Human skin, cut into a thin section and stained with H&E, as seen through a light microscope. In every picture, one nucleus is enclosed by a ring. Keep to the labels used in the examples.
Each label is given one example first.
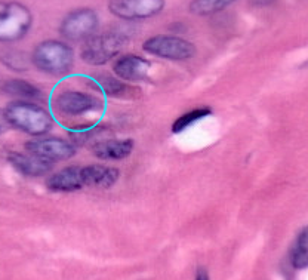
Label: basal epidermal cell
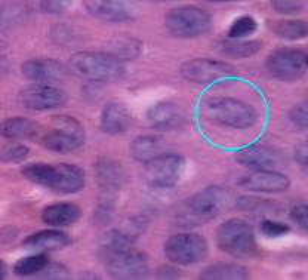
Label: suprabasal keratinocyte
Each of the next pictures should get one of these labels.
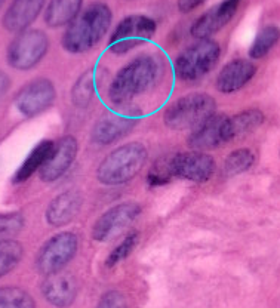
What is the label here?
basal epidermal cell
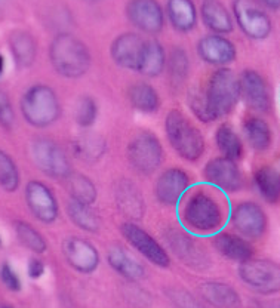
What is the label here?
basal epidermal cell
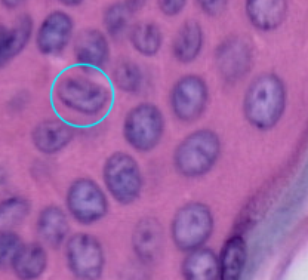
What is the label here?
suprabasal keratinocyte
